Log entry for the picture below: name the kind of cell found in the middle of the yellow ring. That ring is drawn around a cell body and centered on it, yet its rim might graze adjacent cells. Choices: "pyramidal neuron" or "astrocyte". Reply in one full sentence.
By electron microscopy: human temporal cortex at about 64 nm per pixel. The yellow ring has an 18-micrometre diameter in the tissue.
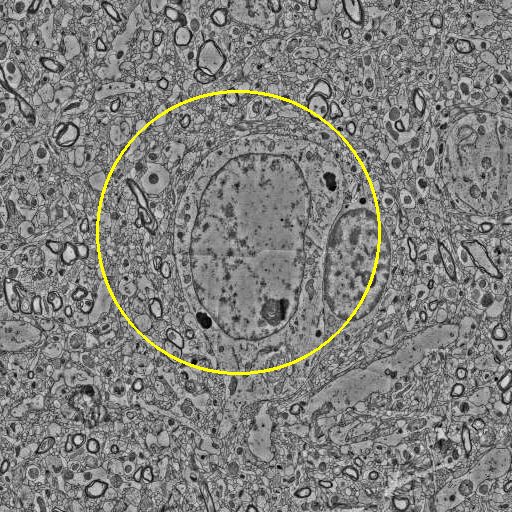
The cell in the middle of the yellow ring in this picture is a pyramidal neuron.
